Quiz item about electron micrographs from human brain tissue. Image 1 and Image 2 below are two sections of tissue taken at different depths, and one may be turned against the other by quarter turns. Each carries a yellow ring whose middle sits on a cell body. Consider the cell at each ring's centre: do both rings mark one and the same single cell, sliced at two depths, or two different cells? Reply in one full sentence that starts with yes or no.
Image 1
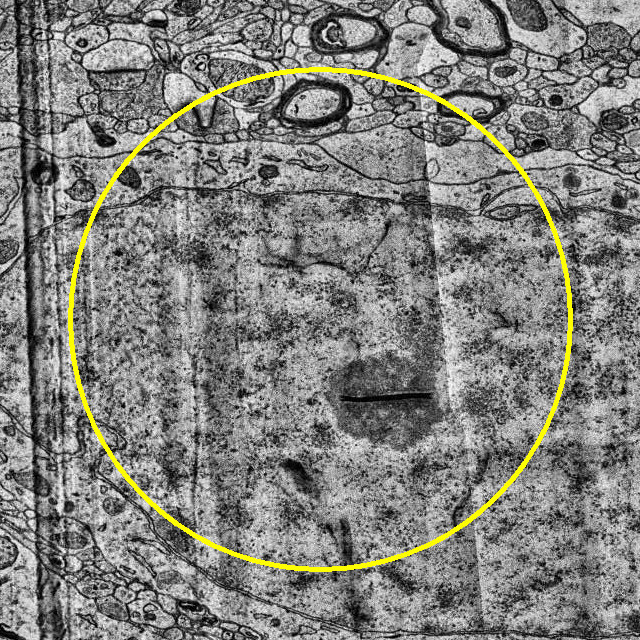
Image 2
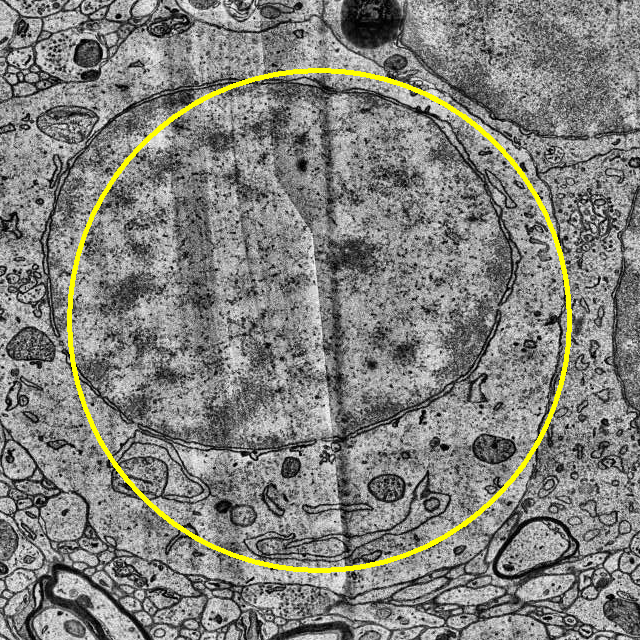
No, these yellow rings each mark a separate cell.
